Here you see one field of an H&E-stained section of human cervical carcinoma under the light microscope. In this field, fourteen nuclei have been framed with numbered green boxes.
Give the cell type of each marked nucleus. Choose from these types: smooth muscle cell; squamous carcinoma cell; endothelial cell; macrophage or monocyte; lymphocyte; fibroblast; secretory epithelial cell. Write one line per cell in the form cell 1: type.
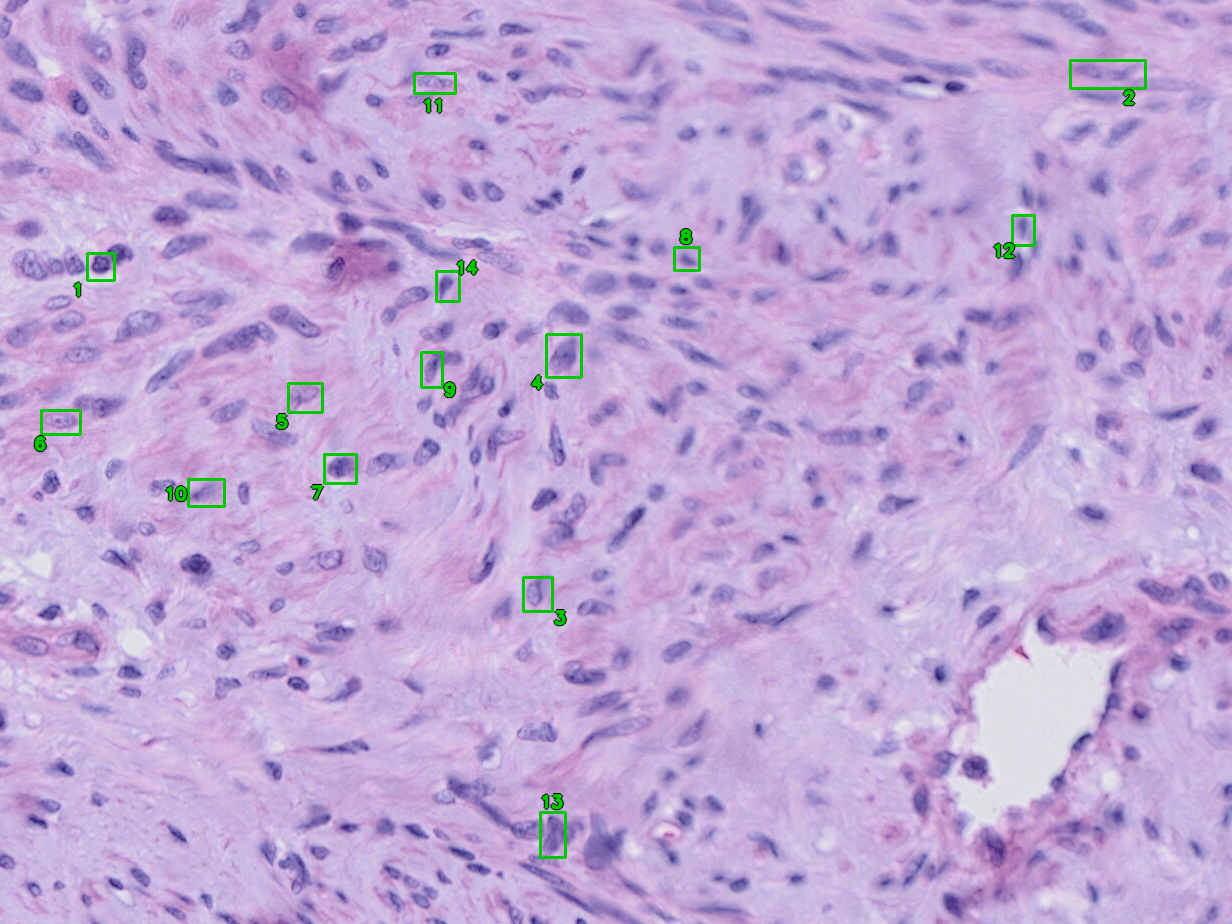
cell 1: lymphocyte
cell 2: smooth muscle cell
cell 3: smooth muscle cell
cell 4: fibroblast
cell 5: smooth muscle cell
cell 6: smooth muscle cell
cell 7: lymphocyte
cell 8: smooth muscle cell
cell 9: smooth muscle cell
cell 10: smooth muscle cell
cell 11: smooth muscle cell
cell 12: fibroblast
cell 13: fibroblast
cell 14: fibroblast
